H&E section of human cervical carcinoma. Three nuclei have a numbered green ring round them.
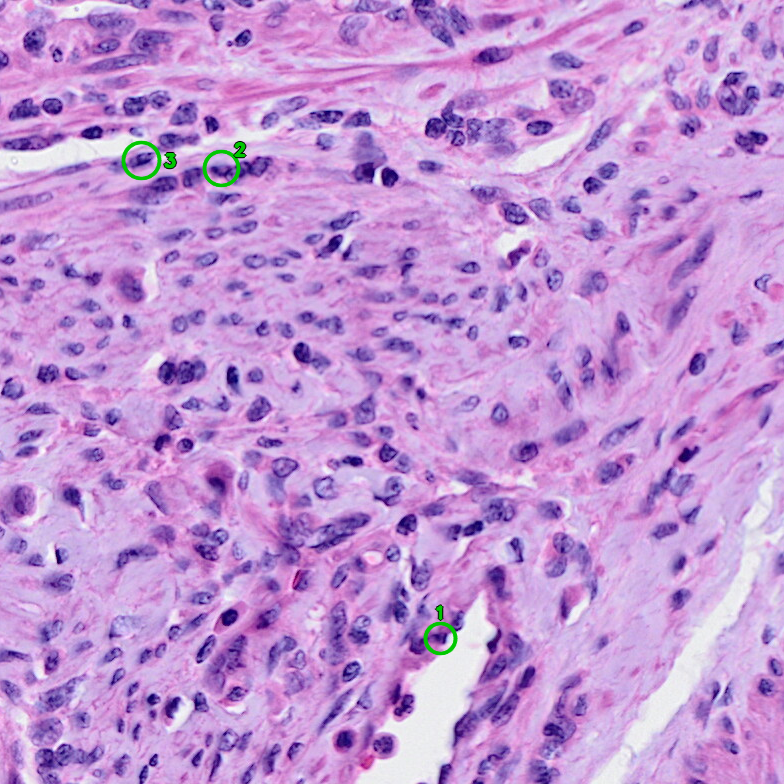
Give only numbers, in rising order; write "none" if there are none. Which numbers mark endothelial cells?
1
